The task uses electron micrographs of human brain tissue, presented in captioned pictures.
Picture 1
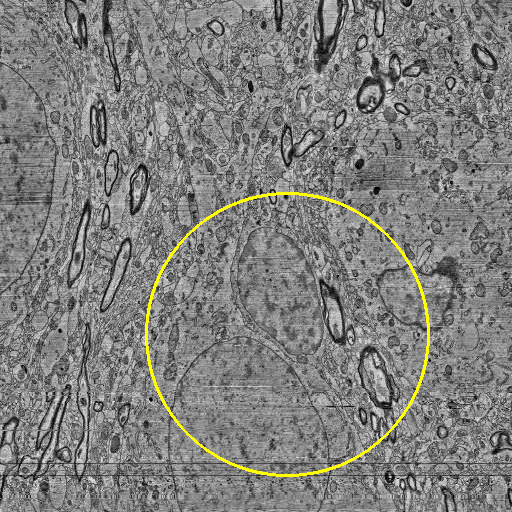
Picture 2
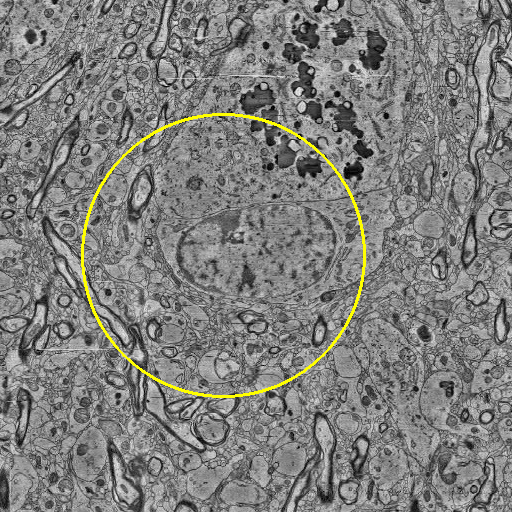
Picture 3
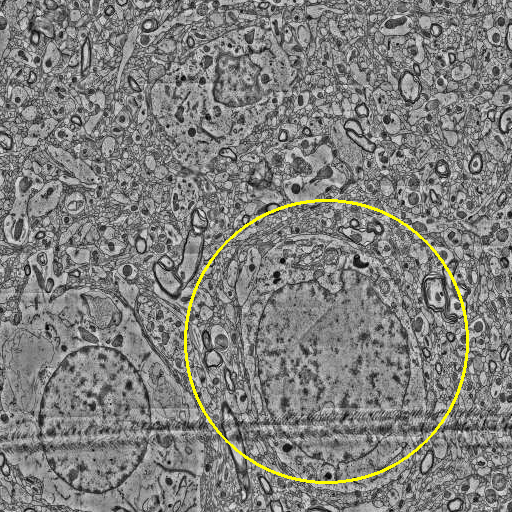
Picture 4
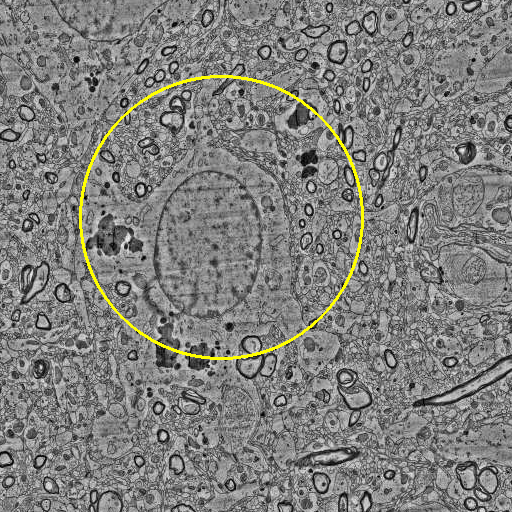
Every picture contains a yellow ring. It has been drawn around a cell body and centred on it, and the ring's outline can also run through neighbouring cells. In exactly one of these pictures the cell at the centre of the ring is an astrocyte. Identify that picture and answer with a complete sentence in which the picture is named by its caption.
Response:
The ring in Picture 4 is centred on that kind of cell.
